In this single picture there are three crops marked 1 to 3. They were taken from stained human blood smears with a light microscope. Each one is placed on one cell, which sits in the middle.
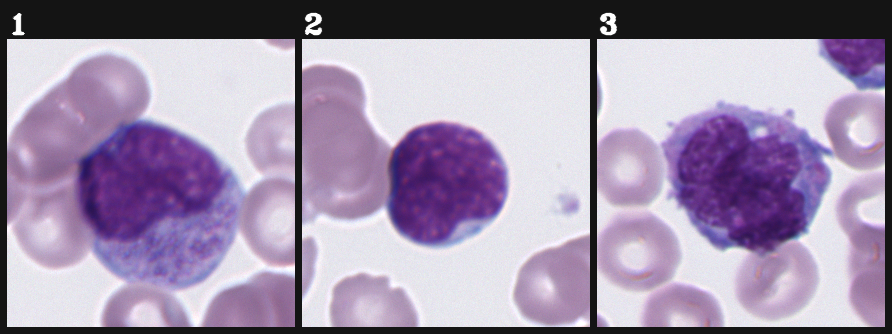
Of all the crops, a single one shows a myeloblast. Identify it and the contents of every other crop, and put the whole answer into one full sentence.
On the one hand crop 2 shows a myeloblast; on the other, crop 1 is a myelocyte and crop 3 is an atypical promyelocyte.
